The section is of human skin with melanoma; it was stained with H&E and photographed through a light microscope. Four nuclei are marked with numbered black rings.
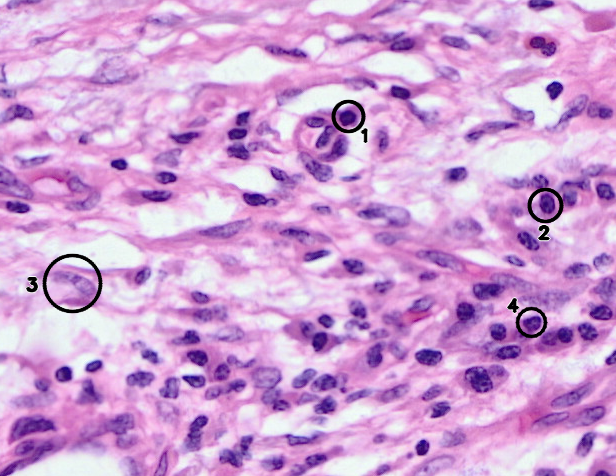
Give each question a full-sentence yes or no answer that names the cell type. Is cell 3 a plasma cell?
No, the cell referred to as 3 is a fibroblast or myofibroblast, not a plasma cell.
